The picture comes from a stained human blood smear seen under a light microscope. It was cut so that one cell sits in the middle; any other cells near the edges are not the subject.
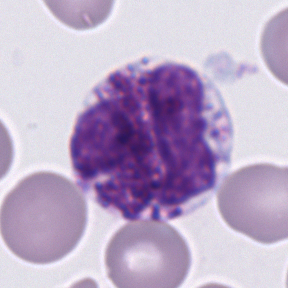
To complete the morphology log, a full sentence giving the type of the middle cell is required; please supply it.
The centered cell in this crop is a basophil.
